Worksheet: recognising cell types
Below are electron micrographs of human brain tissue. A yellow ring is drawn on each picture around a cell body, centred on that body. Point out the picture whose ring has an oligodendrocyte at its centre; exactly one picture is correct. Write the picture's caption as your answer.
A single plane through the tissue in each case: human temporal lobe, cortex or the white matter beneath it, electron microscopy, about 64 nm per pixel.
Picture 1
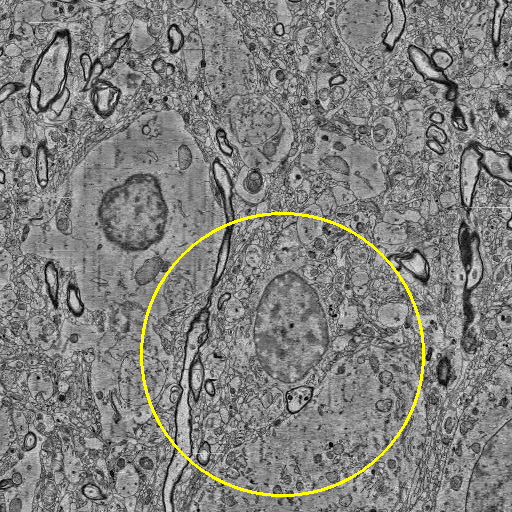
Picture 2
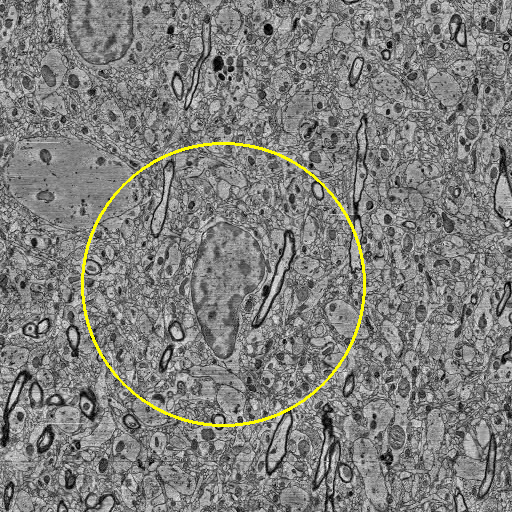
Picture 1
